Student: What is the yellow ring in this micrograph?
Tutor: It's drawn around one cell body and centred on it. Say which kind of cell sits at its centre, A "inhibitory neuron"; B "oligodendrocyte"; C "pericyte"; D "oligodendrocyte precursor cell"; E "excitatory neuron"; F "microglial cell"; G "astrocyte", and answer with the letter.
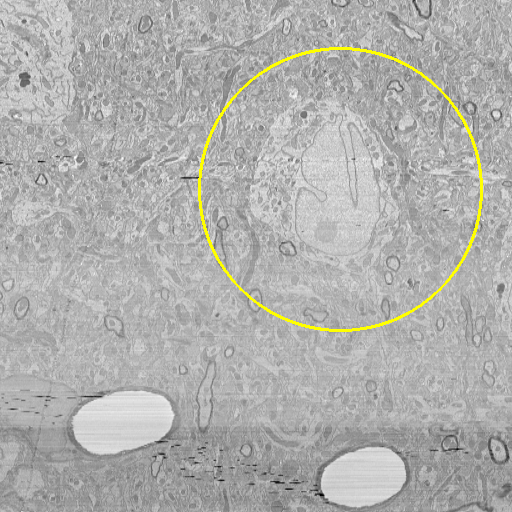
A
